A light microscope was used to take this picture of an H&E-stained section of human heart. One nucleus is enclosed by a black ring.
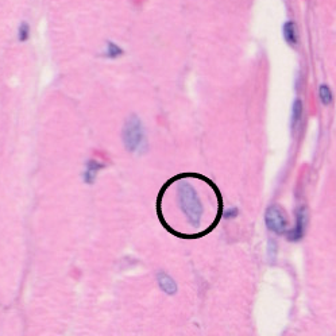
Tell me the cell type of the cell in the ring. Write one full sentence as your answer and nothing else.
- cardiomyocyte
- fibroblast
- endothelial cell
Histopathologically, the cell in the ring is a cardiomyocyte.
